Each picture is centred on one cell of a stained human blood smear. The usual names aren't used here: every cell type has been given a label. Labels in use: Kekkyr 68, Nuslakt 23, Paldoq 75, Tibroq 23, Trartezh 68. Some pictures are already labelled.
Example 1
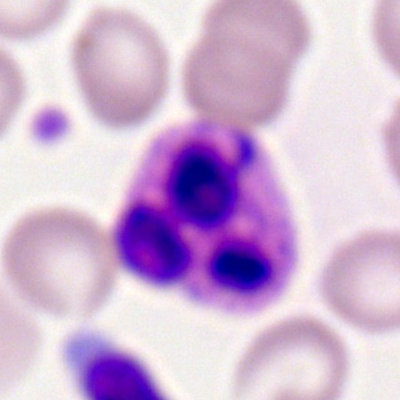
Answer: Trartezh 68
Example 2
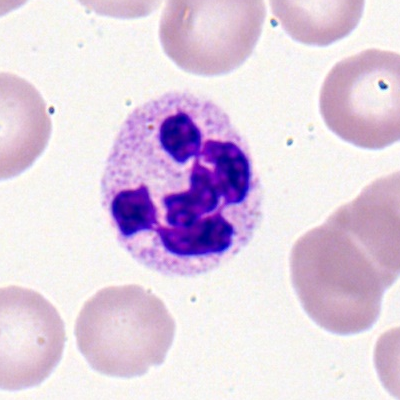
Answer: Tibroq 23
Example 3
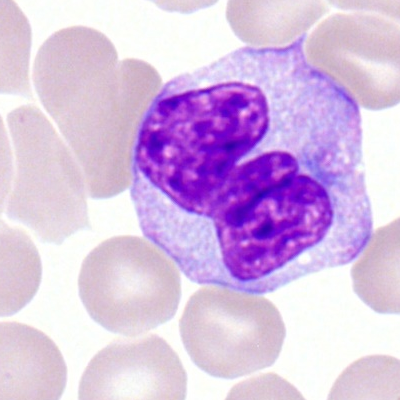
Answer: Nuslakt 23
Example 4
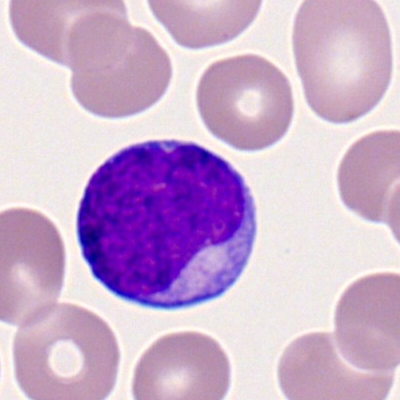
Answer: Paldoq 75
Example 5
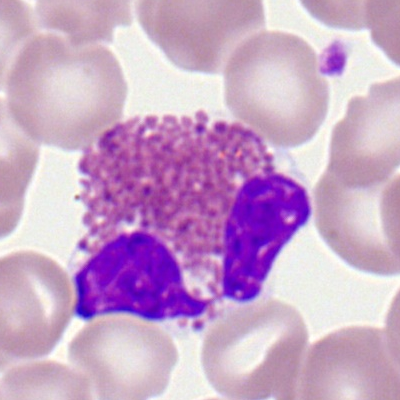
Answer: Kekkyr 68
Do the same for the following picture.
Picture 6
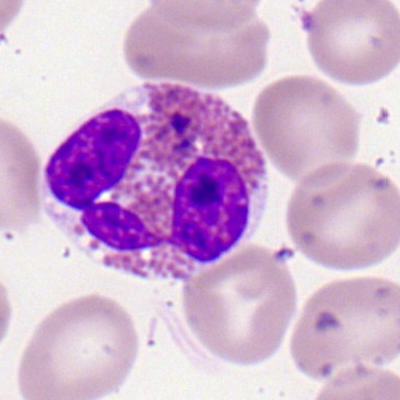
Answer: Kekkyr 68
